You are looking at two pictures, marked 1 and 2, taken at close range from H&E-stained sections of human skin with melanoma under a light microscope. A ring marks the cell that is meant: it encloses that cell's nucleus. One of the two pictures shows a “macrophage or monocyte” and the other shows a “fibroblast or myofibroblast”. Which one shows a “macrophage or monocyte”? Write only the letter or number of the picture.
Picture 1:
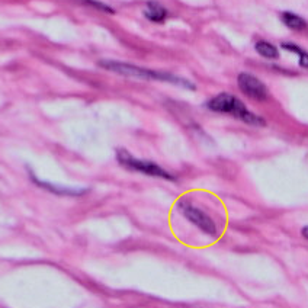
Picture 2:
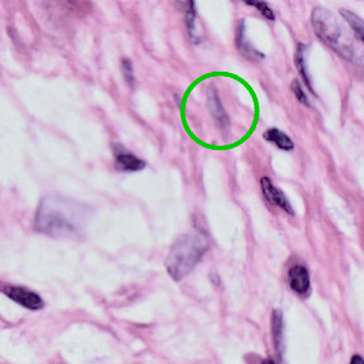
1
